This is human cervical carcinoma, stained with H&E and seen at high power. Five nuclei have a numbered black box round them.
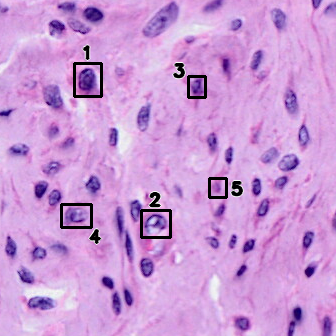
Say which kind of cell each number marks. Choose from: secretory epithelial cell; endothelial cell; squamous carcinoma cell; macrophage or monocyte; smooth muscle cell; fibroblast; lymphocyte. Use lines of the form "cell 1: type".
cell 1: lymphocyte
cell 2: endothelial cell
cell 3: smooth muscle cell
cell 4: smooth muscle cell
cell 5: smooth muscle cell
